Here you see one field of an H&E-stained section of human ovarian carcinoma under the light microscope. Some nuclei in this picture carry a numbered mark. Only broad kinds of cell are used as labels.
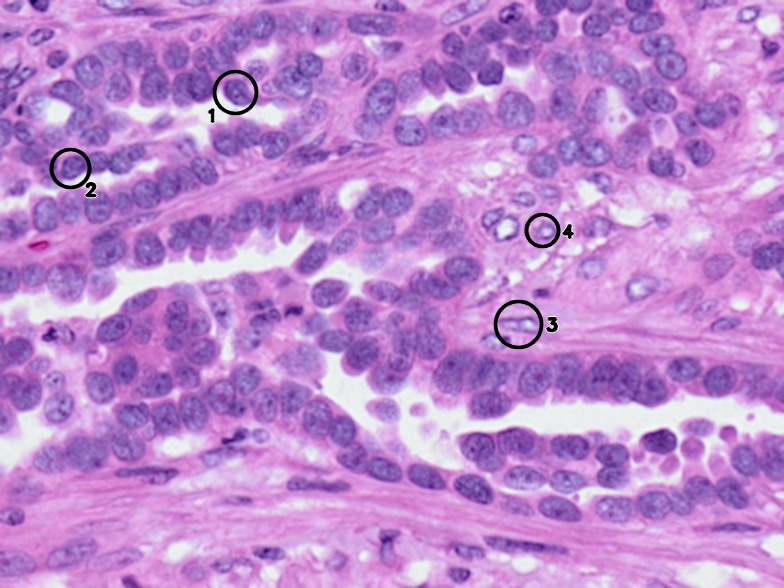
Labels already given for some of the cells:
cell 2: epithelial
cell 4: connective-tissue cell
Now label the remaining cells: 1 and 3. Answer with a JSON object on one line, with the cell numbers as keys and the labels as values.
{"1": "epithelial", "3": "connective-tissue cell"}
